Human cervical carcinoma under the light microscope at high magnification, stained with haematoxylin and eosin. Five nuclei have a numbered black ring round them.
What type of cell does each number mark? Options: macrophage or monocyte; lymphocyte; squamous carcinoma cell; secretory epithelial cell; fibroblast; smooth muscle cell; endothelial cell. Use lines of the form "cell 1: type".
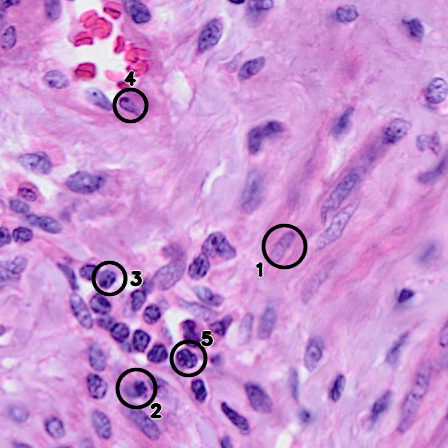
cell 1: smooth muscle cell
cell 2: lymphocyte
cell 3: lymphocyte
cell 4: endothelial cell
cell 5: lymphocyte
